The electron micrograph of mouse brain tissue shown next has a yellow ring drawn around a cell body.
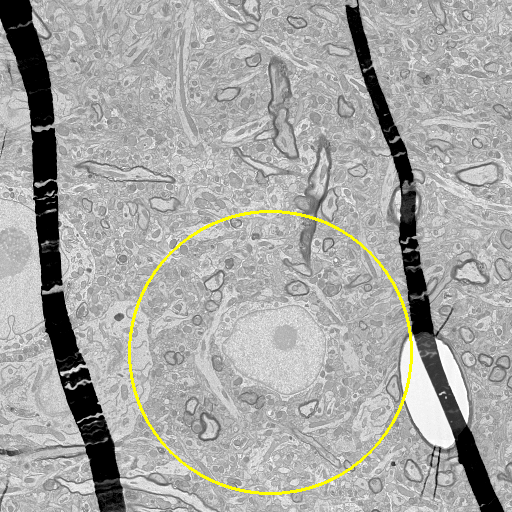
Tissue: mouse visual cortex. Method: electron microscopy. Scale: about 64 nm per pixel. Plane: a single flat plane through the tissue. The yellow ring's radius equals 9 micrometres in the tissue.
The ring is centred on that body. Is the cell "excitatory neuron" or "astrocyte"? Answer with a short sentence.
The cell in question is an astrocyte.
